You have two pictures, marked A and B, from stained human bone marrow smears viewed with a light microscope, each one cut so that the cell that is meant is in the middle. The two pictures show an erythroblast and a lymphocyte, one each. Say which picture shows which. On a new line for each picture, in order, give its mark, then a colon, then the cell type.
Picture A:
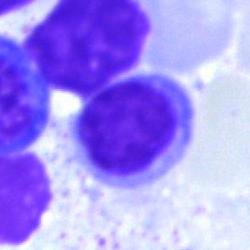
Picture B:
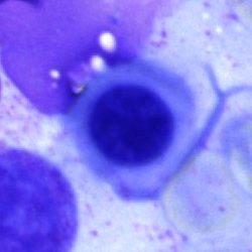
A: lymphocyte
B: erythroblast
